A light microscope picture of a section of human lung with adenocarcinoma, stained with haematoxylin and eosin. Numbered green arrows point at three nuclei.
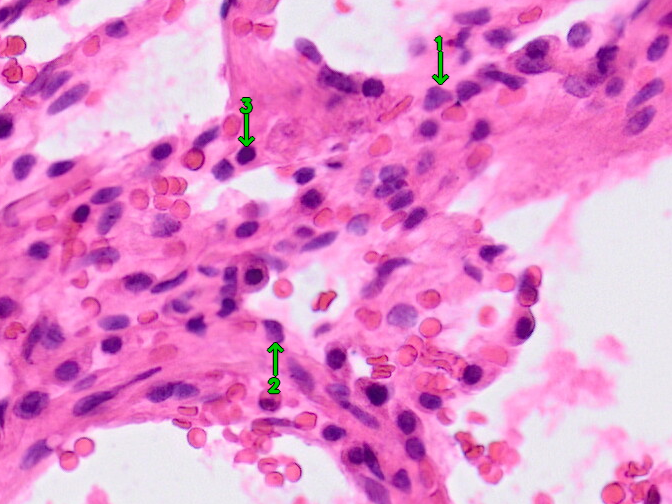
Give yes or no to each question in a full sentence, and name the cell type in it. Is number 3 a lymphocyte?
Yes, number 3 marks a cell that is a lymphocyte.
